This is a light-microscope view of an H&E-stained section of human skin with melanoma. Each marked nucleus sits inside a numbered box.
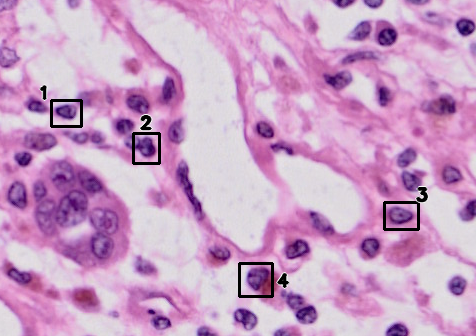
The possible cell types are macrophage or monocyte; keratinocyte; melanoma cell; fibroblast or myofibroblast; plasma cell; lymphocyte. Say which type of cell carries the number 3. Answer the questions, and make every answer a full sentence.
What the number 3 marks in this field is a macrophage or monocyte.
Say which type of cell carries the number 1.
The cell referenced by the number 1 is a lymphocyte in this field.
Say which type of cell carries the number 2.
Here, the cell given the number 2 is a lymphocyte.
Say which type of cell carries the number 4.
The cell that bears the number 4 is a macrophage or monocyte.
